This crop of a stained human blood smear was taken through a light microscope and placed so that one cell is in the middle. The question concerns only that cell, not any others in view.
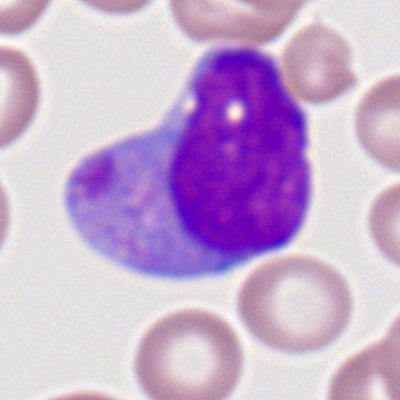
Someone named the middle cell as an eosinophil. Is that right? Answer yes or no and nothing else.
no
